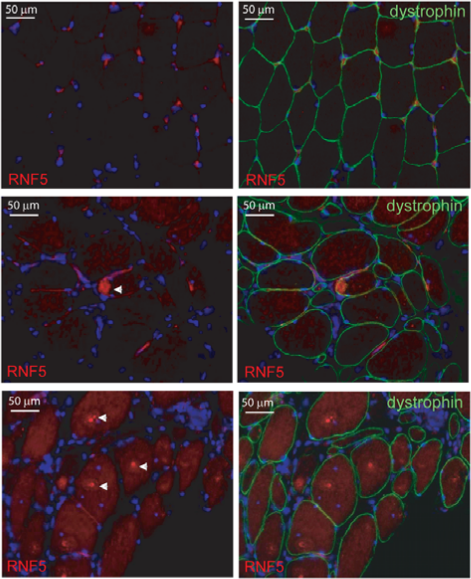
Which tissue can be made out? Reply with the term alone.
Muscle.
